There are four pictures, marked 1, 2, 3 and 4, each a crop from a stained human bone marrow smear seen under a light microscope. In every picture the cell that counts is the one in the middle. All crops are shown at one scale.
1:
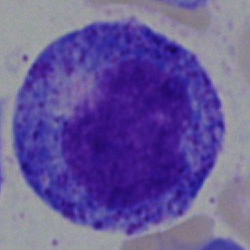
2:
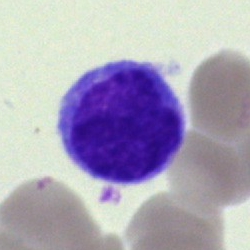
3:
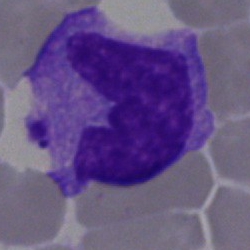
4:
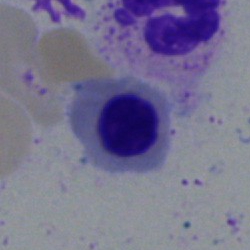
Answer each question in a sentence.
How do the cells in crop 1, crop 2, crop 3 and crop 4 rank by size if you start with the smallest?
The order is 4, 2, 3, 1, beginning with the smallest.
